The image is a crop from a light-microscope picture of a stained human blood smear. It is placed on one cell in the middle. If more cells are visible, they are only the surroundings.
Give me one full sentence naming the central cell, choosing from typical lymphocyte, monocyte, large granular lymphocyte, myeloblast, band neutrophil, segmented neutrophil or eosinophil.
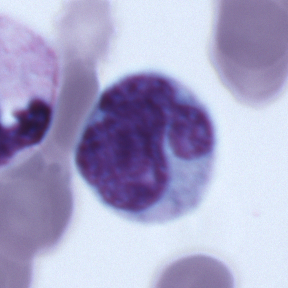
Classification of the middle cell gives a monocyte.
